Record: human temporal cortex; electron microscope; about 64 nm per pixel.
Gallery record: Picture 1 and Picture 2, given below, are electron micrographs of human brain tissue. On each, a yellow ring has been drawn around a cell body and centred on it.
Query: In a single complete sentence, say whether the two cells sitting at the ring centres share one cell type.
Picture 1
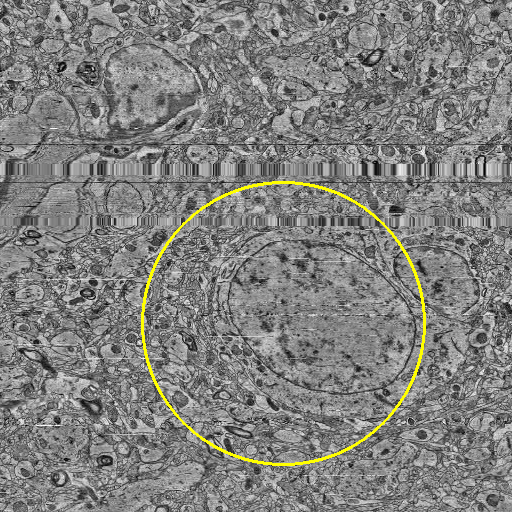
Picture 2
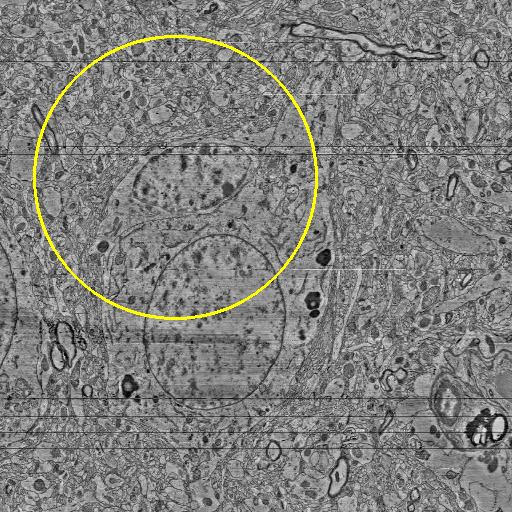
No, in the two pictures the cells at the rings' centres are of two separate types.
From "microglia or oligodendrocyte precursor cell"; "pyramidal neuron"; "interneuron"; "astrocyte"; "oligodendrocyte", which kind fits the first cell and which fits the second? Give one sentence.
The cell marked in the first picture is a pyramidal neuron, and the one marked in the second is a microglial cell or oligodendrocyte precursor cell.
